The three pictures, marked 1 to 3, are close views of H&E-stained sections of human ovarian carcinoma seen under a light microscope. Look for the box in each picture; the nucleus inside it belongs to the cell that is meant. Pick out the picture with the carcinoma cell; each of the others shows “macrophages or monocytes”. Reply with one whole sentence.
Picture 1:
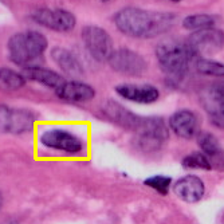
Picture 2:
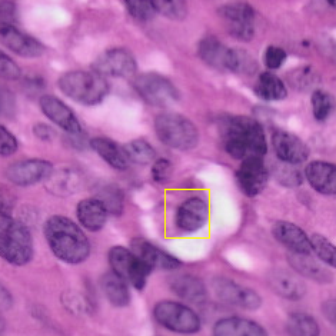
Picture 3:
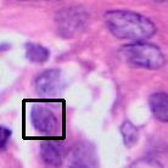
The picture with the carcinoma cell is 3.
